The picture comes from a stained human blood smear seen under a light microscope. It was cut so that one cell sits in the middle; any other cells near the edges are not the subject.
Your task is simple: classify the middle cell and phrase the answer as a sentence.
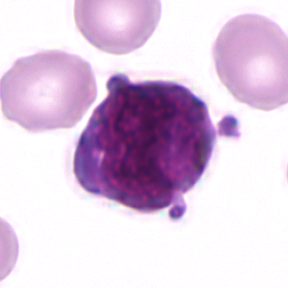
The centrally positioned cell in the crop represents an atypical promyelocyte.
